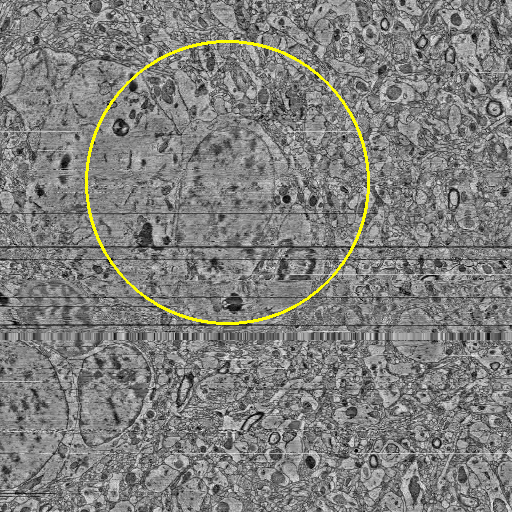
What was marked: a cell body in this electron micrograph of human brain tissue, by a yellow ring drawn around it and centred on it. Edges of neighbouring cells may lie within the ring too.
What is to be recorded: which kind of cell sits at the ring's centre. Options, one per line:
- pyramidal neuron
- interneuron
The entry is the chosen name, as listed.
interneuron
